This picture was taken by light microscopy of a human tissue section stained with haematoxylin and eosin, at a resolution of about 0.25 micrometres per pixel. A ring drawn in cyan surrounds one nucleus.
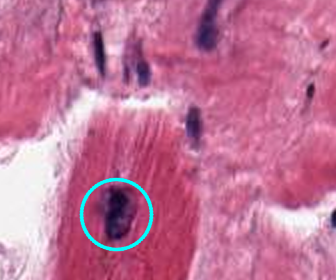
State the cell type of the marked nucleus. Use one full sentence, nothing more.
Part of a cardiomyocyte is the marked nucleus.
